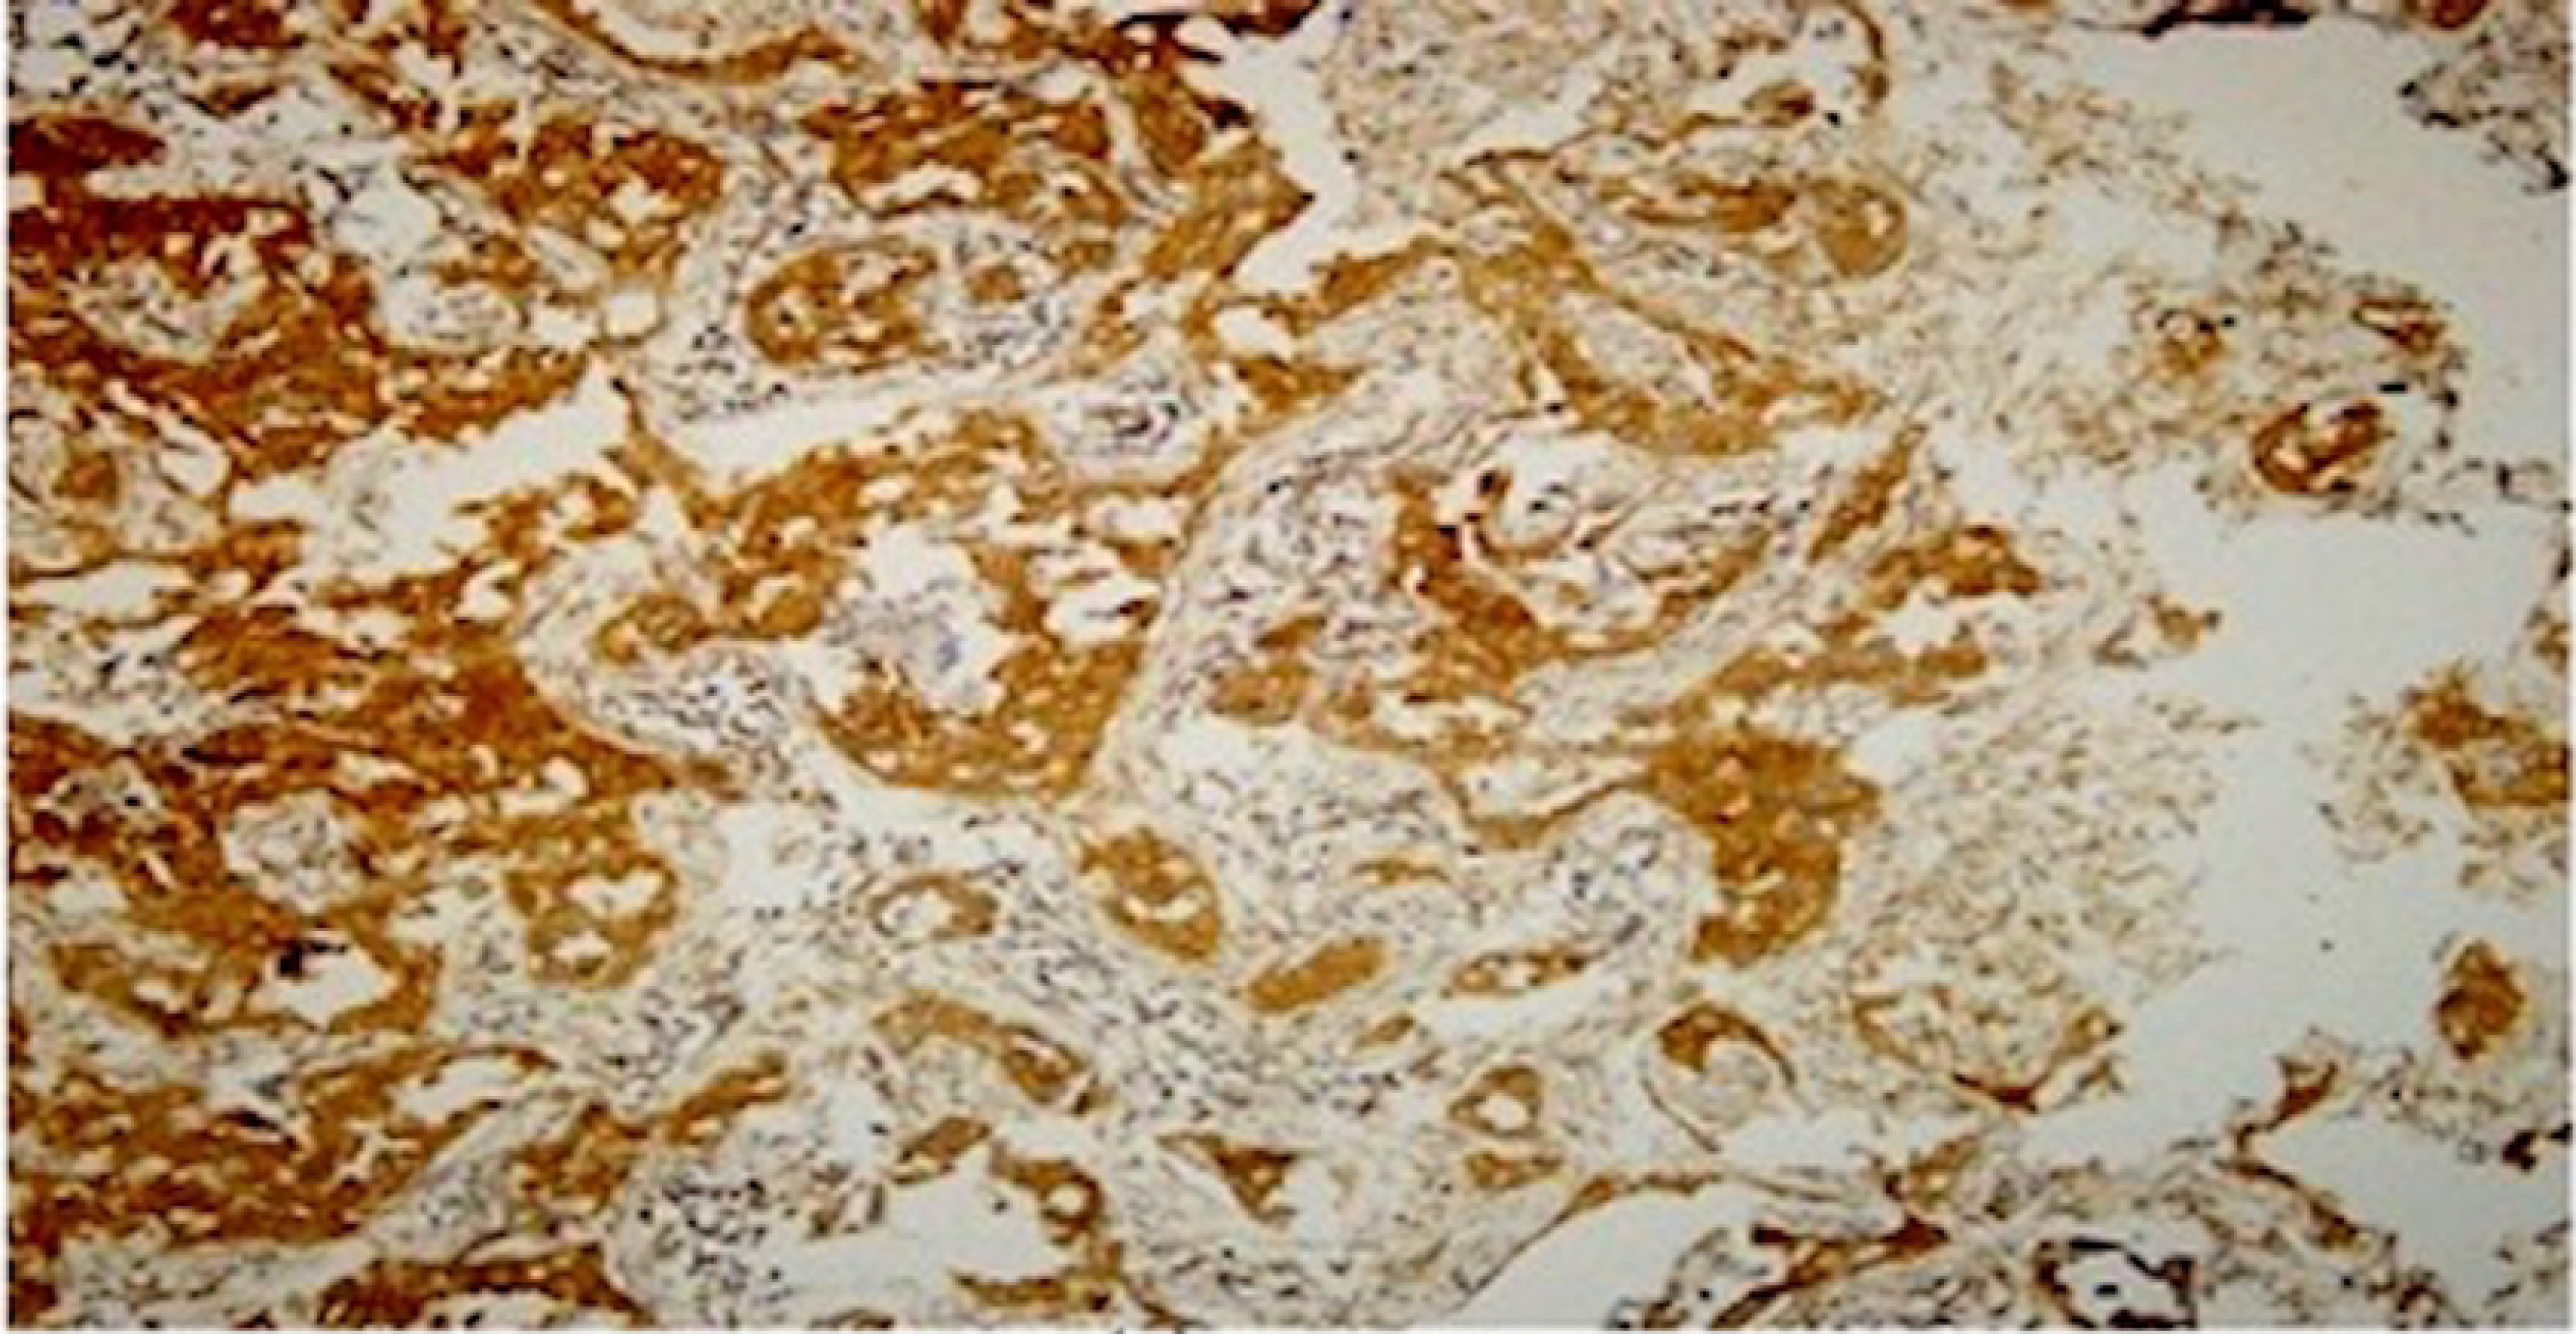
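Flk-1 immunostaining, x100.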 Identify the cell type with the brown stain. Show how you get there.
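Tumour cells. Irregular islands and cords of densely packed cells are stained brown. Paler, loosely arranged stroma with small nuclei separates the brown islands.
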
